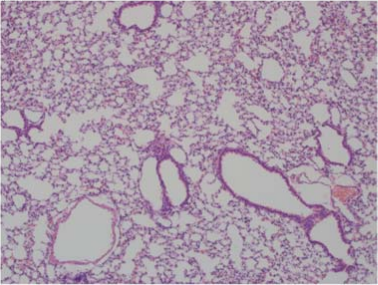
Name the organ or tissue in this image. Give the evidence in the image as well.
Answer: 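Thin-walled air spaces in a lacy network. Larger round airways and vessels lined by thin walls. That points to this answer: lung.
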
